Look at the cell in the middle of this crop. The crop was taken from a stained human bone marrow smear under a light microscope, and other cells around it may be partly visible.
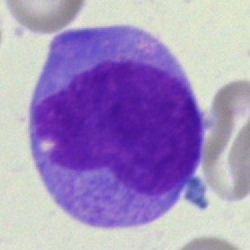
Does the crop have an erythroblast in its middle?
no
